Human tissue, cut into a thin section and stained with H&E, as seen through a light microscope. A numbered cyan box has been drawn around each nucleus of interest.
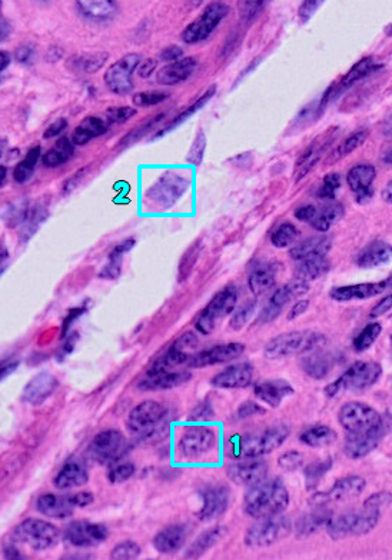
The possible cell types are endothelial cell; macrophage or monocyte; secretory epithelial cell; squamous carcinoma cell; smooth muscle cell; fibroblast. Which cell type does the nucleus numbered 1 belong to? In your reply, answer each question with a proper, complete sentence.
The cell numbered 1 represents a squamous carcinoma cell.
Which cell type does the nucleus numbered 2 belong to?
Cell 2 is classified as a fibroblast.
